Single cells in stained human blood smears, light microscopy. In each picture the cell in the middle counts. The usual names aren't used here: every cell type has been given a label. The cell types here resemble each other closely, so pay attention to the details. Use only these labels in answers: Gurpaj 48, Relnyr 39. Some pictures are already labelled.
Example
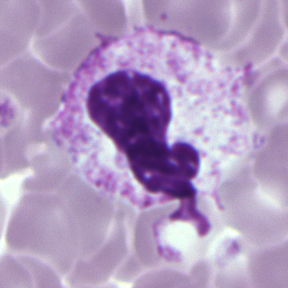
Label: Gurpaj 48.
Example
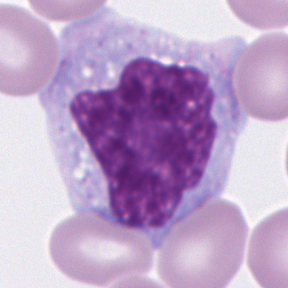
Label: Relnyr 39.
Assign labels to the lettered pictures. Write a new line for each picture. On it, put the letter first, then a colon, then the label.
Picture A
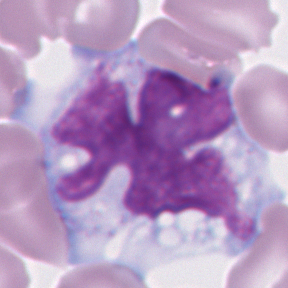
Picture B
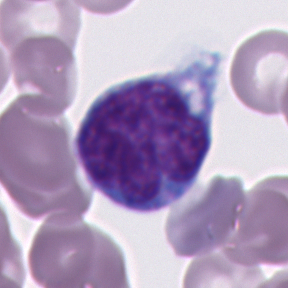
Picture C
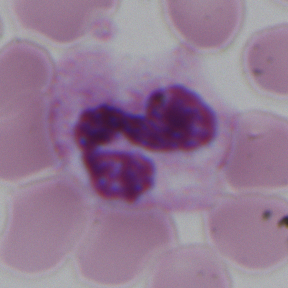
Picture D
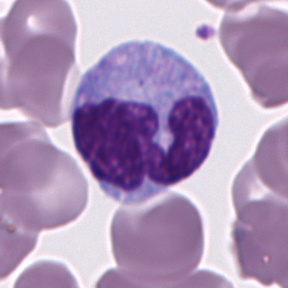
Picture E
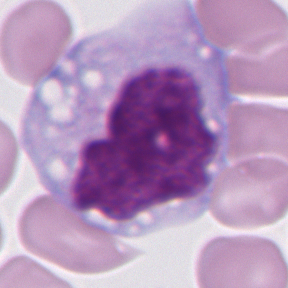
A: Relnyr 39.
B: Relnyr 39.
C: Gurpaj 48.
D: Relnyr 39.
E: Relnyr 39.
